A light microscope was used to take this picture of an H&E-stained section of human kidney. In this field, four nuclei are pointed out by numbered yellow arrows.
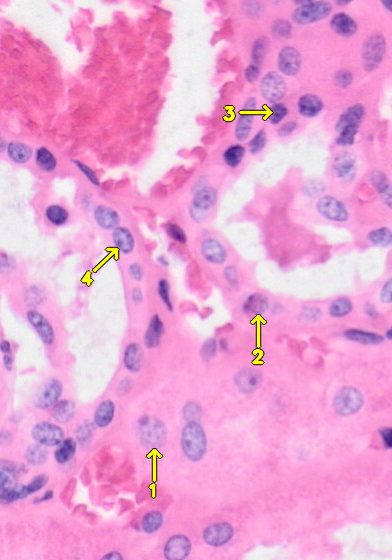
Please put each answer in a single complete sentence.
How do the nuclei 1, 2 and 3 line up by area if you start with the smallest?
The order from the smallest nucleus to the largest is 3, 2, 1.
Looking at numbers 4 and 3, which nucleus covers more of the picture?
At about 1.5 times the area of nucleus 3, nucleus 4 is the larger of the two.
